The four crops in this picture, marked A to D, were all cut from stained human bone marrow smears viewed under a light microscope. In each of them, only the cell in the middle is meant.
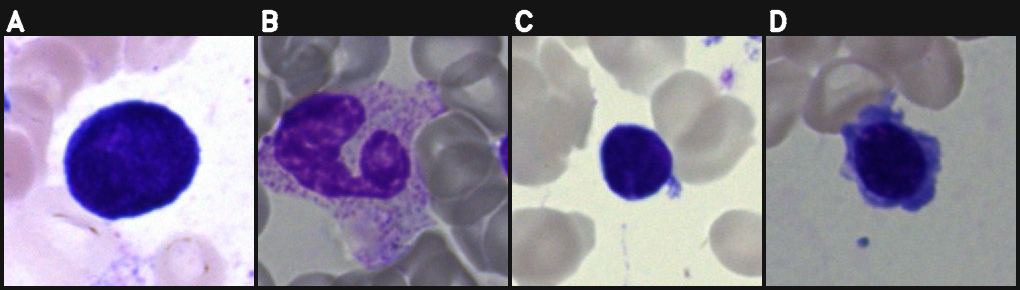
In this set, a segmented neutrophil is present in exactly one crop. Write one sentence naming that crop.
That would be crop B; it shows a segmented neutrophil.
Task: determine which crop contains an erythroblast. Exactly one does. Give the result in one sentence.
The crop carrying an erythroblast at the center is crop D.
